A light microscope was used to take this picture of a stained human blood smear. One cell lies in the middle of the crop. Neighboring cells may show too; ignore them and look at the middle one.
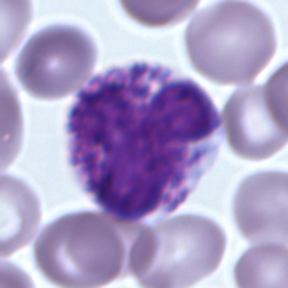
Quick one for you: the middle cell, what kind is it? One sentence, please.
As for the cell in the middle, it is a basophil.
